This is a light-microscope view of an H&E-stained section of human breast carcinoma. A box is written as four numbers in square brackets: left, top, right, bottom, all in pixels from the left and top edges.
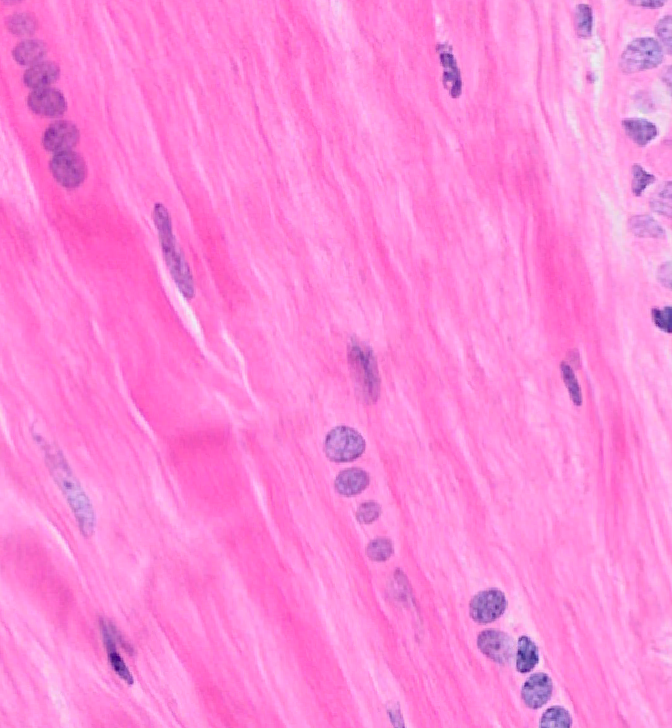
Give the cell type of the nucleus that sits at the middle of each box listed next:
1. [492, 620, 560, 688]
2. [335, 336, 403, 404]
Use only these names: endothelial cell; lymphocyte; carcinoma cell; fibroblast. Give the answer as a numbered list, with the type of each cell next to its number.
1. lymphocyte
2. fibroblast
